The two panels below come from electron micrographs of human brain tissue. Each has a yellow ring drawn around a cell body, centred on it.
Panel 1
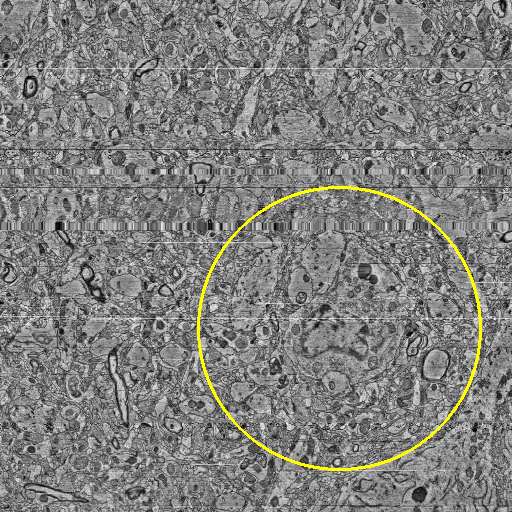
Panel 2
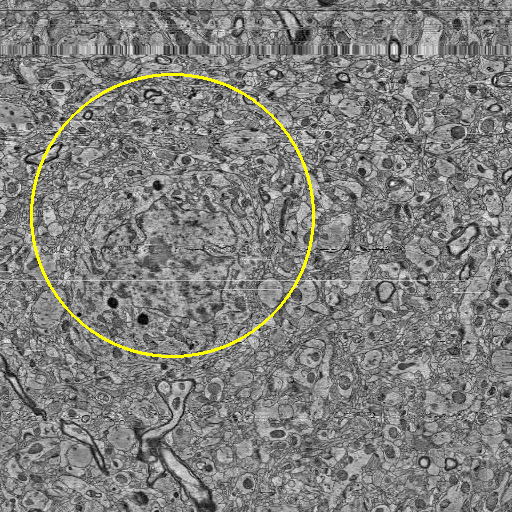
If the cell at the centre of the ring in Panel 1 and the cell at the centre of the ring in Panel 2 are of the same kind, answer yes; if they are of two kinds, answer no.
yes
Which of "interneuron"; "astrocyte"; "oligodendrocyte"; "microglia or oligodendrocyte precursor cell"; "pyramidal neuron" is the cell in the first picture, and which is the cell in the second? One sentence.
Each of the two rings surrounds an interneuron.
